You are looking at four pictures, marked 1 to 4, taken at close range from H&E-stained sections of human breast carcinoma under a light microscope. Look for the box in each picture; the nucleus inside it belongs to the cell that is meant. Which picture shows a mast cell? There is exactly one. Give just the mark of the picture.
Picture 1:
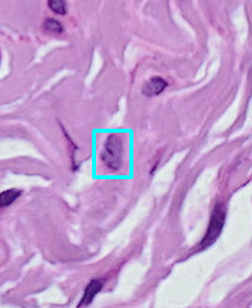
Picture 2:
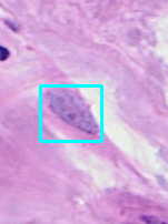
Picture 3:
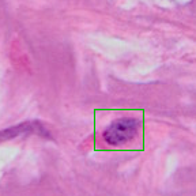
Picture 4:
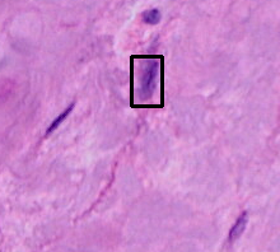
3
